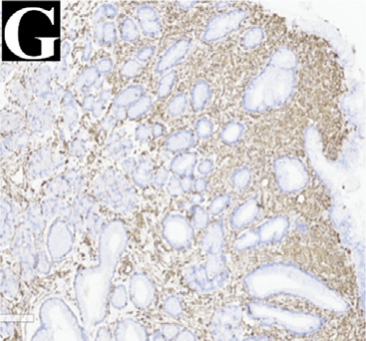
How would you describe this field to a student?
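Numerous round to elongated glands, pale and unstained, are set within this brown cellular stroma. The stroma is densest and most strongly stained in a broad zone on one side of the field. Toward the other side the stroma is looser and the glands lie closer together. The epithelial lining of the glands stands out as pale blue outlines against the brown background.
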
